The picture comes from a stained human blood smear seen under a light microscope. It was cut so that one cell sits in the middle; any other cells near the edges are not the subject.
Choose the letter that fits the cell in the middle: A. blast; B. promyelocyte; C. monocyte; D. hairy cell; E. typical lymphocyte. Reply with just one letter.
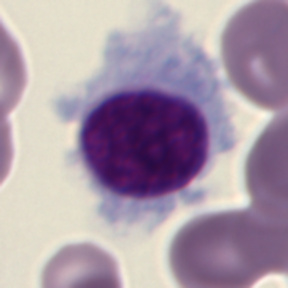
D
